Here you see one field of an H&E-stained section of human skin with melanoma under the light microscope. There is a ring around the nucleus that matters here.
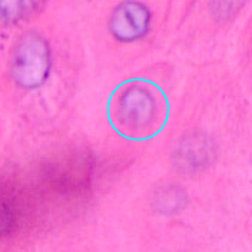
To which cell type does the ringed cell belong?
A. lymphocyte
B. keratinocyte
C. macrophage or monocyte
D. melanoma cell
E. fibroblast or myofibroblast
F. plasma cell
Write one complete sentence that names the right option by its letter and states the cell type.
According to option B, the ringed cell is a keratinocyte, and this is correct.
